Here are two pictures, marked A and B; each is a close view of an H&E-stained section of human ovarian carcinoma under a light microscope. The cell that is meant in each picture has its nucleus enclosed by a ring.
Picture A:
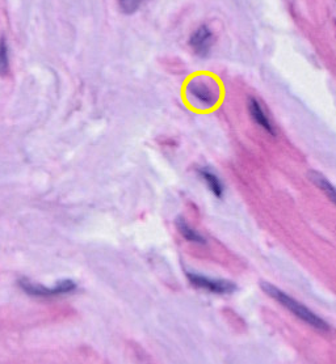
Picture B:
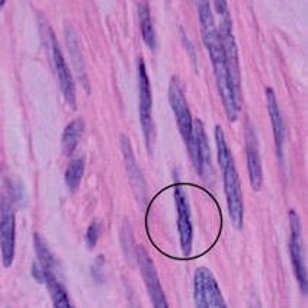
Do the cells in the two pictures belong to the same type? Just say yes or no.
yes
